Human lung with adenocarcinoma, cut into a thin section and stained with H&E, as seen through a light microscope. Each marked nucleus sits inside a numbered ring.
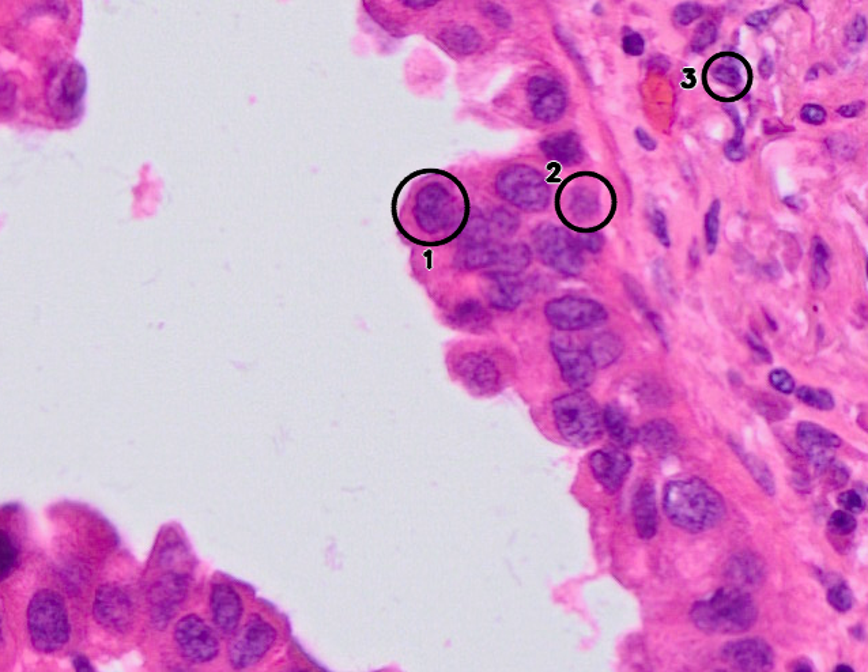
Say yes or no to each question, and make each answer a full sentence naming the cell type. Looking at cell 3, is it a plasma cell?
Yes, number 3 marks a cell that is a plasma cell.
